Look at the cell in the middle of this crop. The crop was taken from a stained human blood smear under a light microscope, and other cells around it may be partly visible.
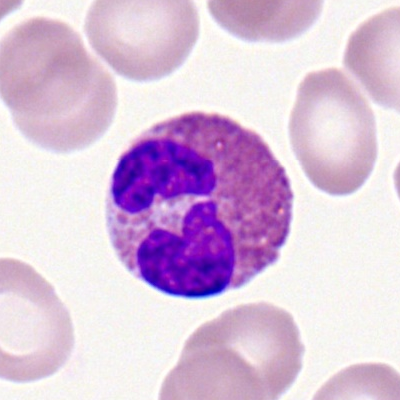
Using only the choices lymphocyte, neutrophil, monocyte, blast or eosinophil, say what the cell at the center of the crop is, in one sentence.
The cell found in the middle of this crop is an eosinophil.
